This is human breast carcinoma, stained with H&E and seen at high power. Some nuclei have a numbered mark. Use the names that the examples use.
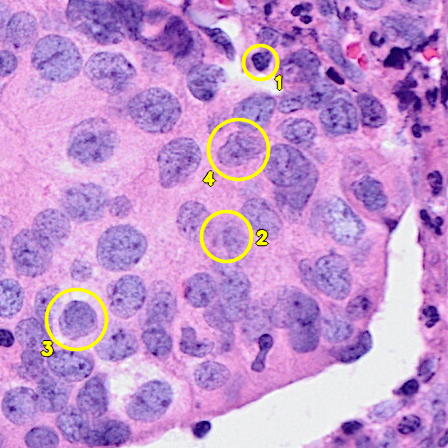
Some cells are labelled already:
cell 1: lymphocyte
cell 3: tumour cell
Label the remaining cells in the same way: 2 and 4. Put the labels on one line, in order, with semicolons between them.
tumour cell; tumour cell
